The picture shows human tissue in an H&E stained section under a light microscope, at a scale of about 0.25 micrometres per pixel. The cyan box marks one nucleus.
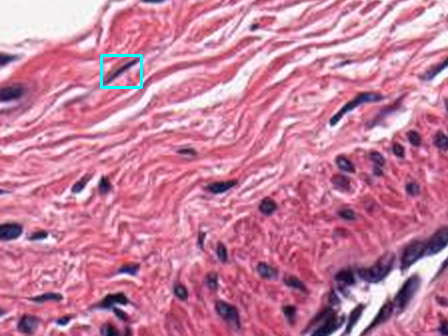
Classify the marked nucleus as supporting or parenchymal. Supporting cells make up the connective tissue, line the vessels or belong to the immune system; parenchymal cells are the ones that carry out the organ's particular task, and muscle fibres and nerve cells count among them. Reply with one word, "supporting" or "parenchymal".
supporting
